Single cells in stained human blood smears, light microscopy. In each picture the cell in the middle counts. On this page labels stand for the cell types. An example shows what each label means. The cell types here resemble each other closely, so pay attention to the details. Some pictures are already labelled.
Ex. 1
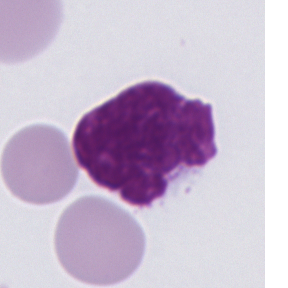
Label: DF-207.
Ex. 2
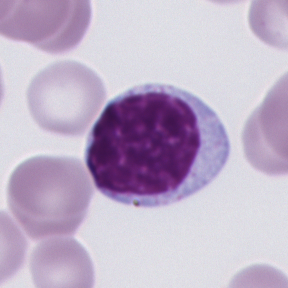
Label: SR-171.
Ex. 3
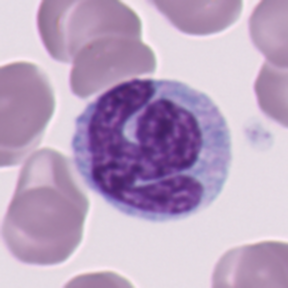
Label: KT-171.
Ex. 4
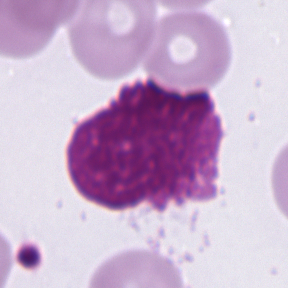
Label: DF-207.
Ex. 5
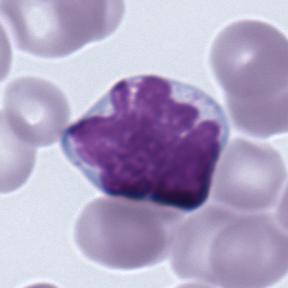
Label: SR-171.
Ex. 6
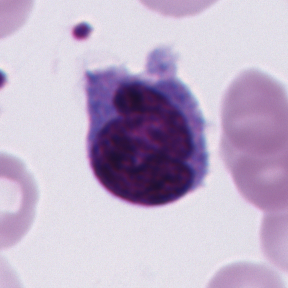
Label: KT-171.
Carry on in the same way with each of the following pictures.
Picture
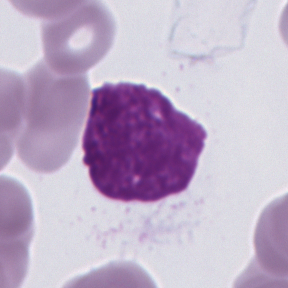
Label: DF-207.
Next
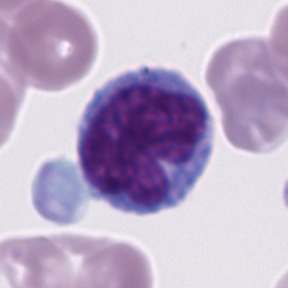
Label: KT-171.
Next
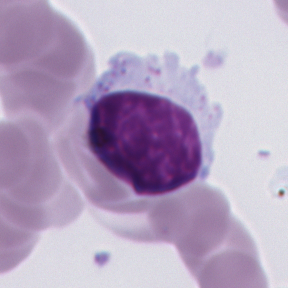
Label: SR-171.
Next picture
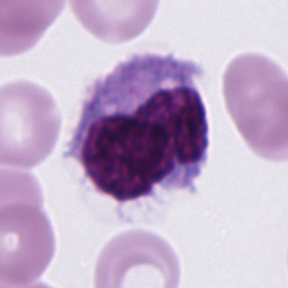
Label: KT-171.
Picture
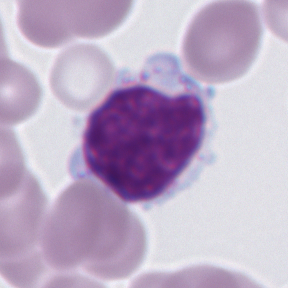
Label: SR-171.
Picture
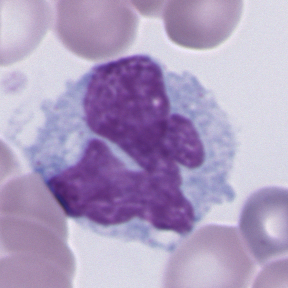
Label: KT-171.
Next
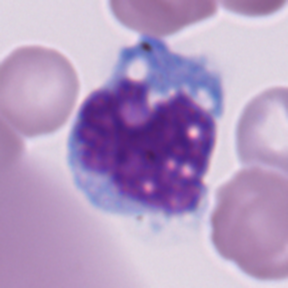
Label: KT-171.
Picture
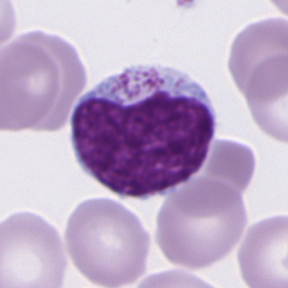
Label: SR-171.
